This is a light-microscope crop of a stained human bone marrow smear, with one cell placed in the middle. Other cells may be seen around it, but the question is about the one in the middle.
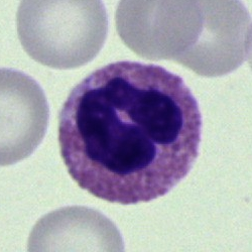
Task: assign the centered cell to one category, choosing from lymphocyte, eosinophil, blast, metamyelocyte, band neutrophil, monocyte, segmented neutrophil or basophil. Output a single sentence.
Located at the centre of the crop is an eosinophil.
